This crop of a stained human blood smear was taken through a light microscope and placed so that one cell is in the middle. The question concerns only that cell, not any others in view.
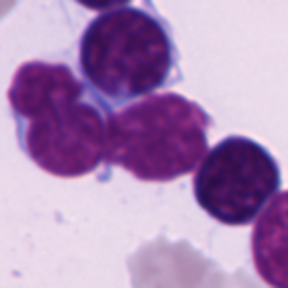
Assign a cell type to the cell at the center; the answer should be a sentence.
Of the cells in this crop, the central one is a myeloblast.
